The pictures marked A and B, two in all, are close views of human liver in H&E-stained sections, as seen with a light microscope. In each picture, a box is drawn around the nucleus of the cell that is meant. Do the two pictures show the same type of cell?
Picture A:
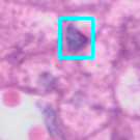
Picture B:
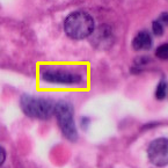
no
